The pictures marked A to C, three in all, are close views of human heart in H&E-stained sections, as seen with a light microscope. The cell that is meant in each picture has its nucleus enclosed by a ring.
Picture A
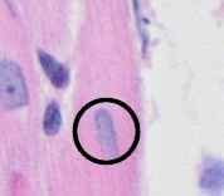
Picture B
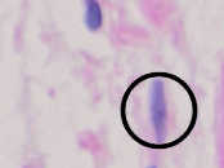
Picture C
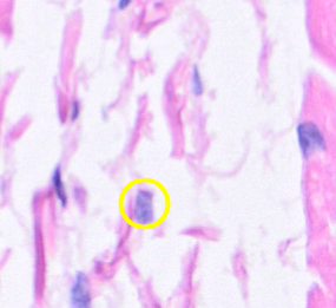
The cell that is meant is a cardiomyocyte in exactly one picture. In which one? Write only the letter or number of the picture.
A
